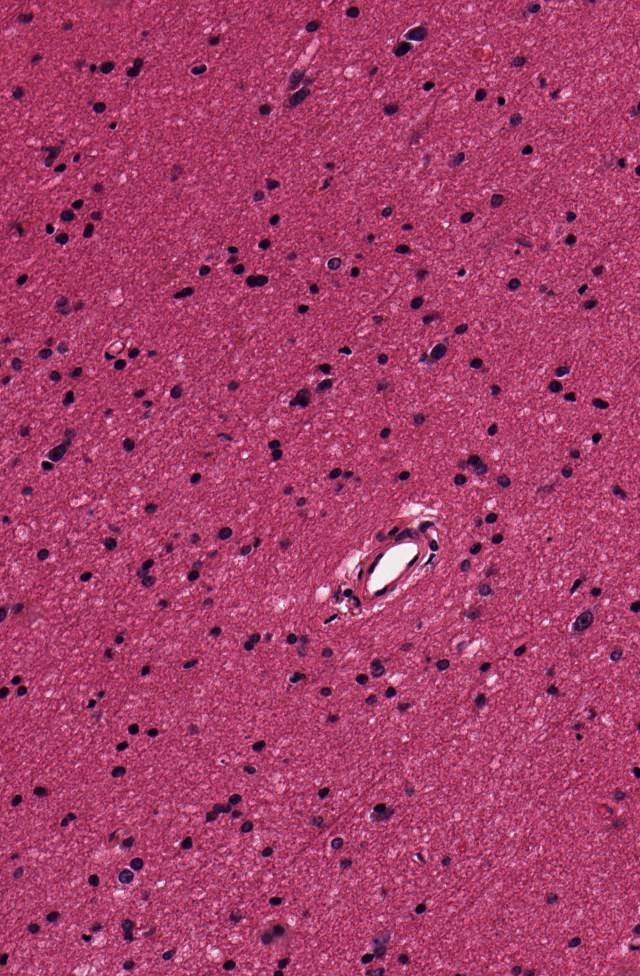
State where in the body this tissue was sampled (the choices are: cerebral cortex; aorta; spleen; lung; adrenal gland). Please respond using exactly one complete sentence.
The specimen in this section was collected from the cerebral cortex.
